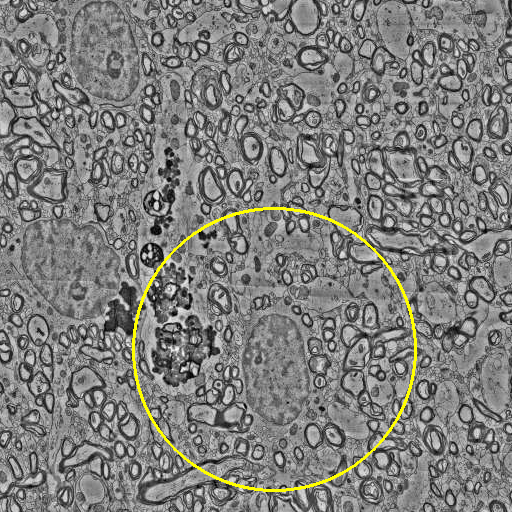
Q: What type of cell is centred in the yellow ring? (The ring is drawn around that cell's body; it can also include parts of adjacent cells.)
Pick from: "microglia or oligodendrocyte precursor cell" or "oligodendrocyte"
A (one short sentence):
The yellow ring is centred on an oligodendrocyte.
